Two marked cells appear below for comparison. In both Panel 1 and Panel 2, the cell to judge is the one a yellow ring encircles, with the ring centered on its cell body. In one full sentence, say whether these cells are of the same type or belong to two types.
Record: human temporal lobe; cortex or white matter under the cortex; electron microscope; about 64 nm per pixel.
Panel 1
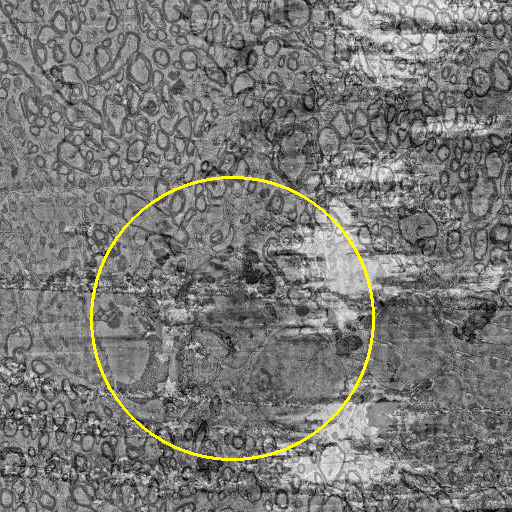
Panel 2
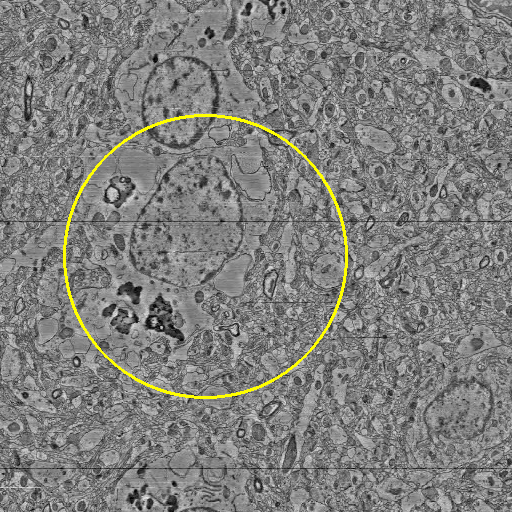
The cell centered in the Panel 1 ring and the one in Panel 2 belong to two types.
